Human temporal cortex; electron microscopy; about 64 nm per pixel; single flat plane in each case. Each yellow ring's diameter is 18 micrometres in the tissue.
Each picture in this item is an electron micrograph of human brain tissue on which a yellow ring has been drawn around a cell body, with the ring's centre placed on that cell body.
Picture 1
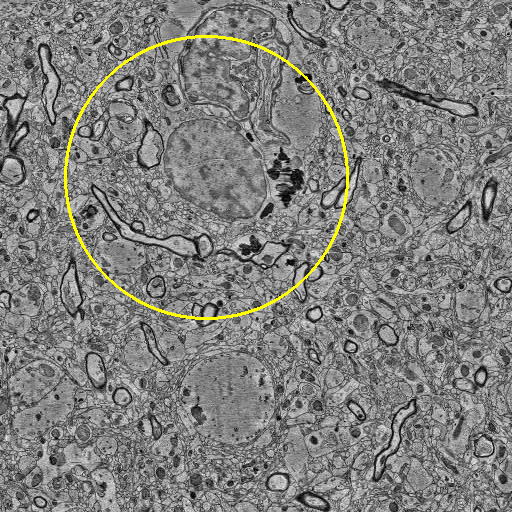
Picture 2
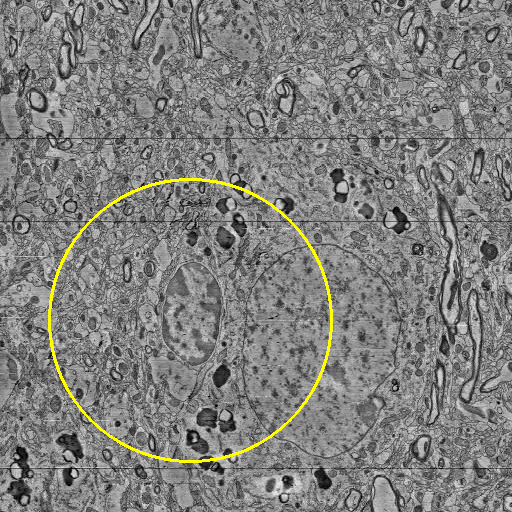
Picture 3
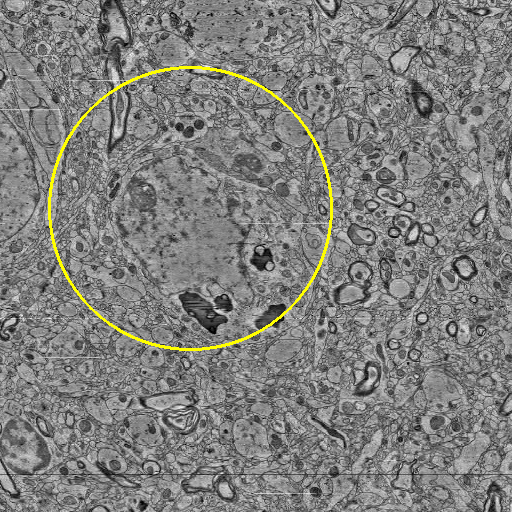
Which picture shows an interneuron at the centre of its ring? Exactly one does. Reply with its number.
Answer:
3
